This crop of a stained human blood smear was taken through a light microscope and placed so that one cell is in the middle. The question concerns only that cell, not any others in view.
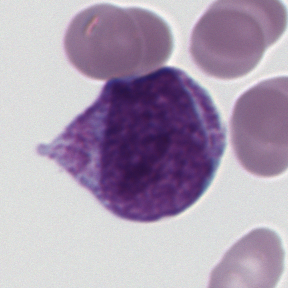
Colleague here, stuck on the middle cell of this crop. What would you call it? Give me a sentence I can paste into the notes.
In the central position of this crop, the cell is an atypical promyelocyte.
